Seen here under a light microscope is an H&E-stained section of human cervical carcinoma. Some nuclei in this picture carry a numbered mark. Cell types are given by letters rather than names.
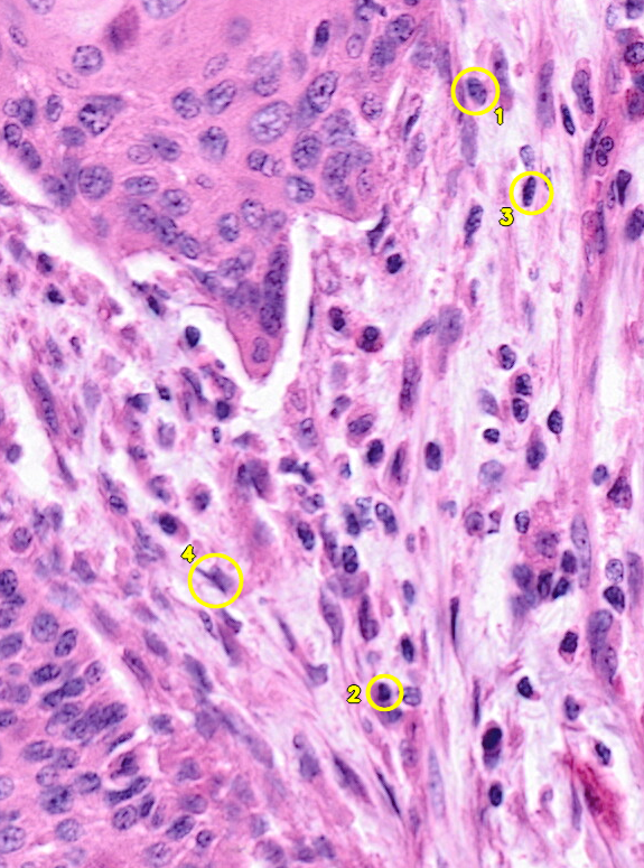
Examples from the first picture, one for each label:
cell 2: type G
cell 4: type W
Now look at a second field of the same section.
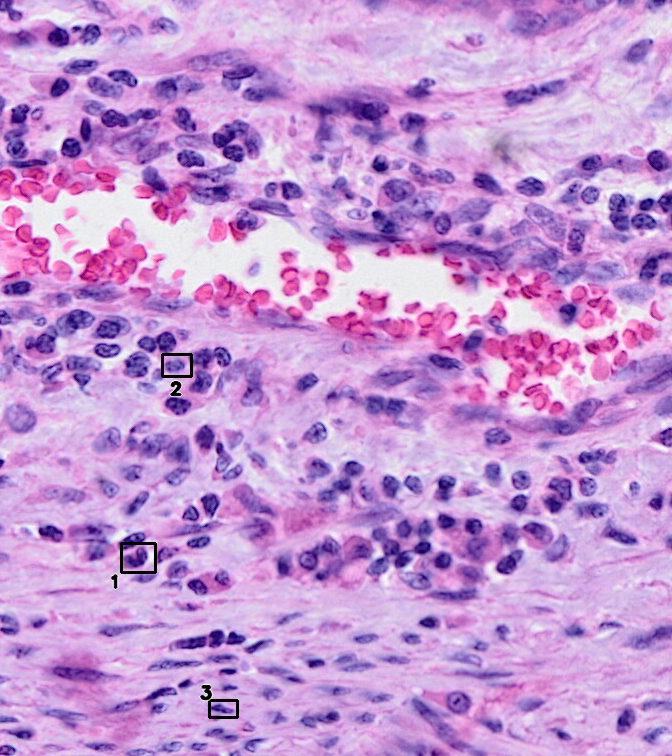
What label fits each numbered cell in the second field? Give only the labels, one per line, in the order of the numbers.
type G
type G
type W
